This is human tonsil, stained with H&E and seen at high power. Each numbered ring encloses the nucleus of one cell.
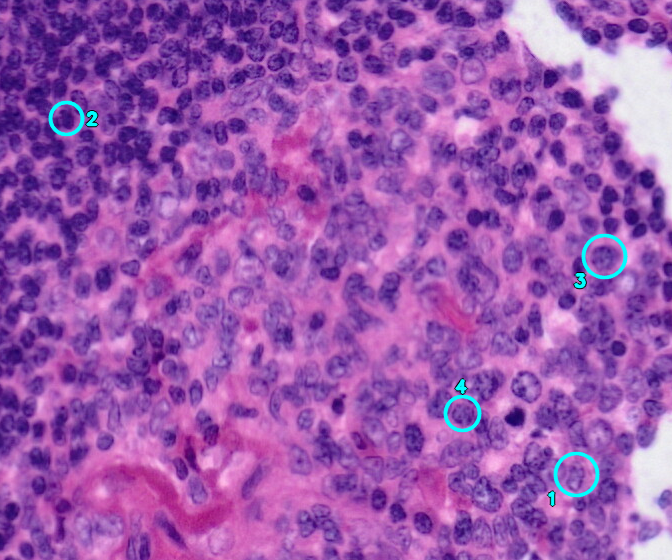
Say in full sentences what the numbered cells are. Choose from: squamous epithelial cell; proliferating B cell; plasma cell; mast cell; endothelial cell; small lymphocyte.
Cell 1 is a proliferating B cell, cell 2 is a small lymphocyte, cell 3 is a proliferating B cell and cell 4 is a proliferating B cell.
